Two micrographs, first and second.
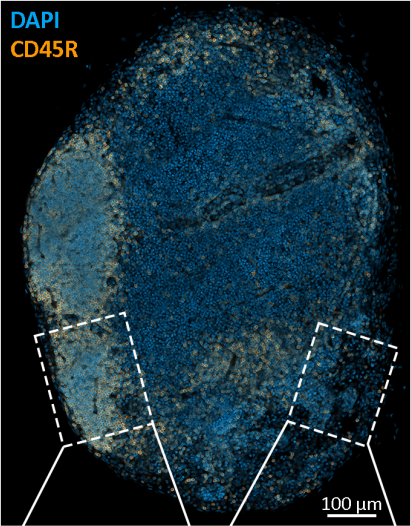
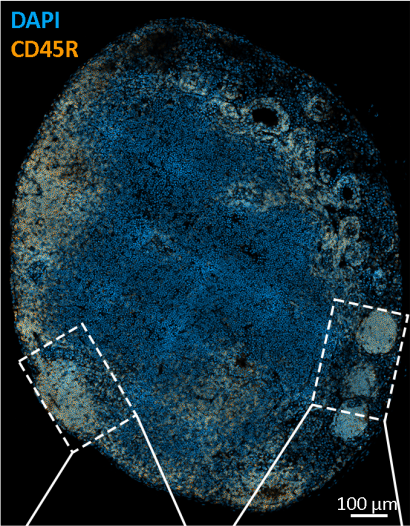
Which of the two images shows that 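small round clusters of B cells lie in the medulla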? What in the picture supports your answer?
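Second image: several small, round, sharply bounded orange clusters sit at the lower right, apart from the edge follicles. First image: the boxed region at lower right shows scattered cells without round orange clusters. The answer: the second image.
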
